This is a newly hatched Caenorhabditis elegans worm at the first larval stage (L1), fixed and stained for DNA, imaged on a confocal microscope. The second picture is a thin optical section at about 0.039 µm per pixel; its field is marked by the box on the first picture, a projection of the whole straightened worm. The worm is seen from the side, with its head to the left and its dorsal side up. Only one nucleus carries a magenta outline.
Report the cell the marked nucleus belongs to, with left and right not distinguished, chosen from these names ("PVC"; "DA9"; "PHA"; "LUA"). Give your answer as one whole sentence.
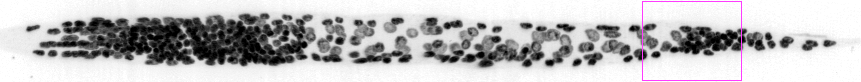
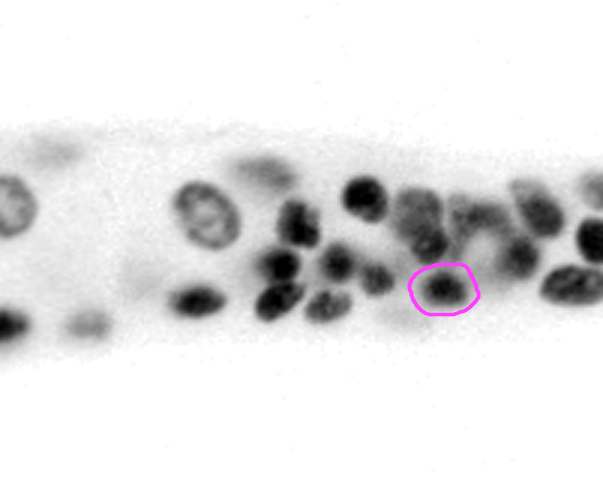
The cell whose nucleus is marked is PHA, a neuron.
